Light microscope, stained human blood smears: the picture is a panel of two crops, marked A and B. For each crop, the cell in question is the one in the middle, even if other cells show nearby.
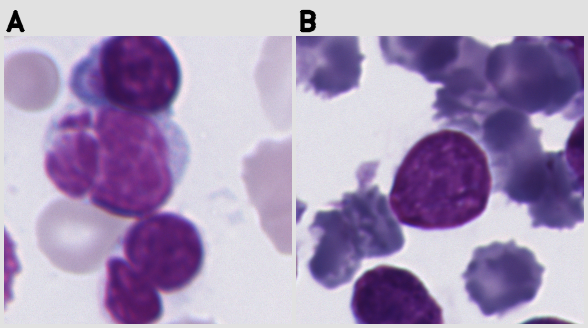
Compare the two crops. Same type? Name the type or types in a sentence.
No, the cell in crop A is a myeloblast, and the cell in crop B is a smudge cell.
